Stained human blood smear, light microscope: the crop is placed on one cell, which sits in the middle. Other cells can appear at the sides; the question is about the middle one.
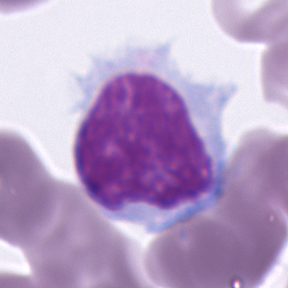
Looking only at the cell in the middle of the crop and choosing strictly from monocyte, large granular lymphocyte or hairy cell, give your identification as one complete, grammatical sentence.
At the center of the crop sits a hairy cell.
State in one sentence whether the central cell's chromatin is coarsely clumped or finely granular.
No coarse chromatin clumps are present; the pattern is fine.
